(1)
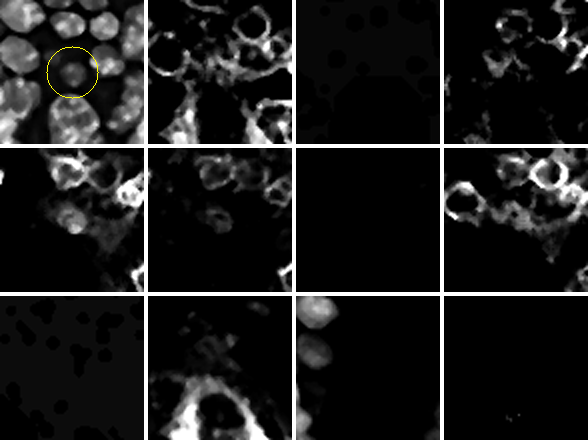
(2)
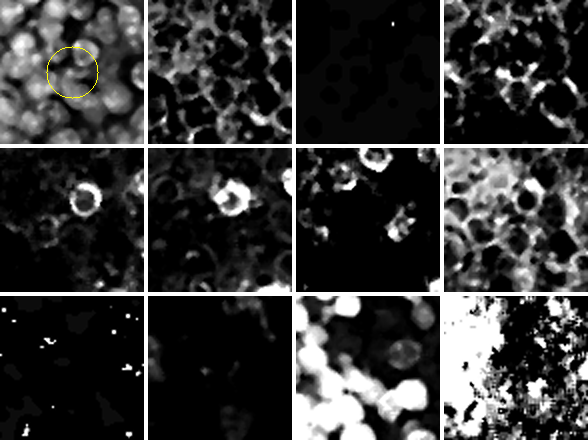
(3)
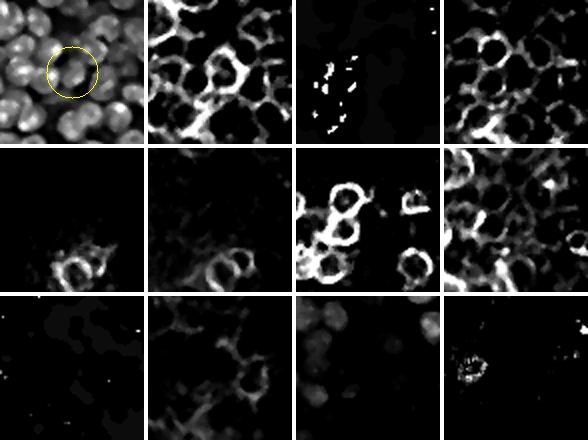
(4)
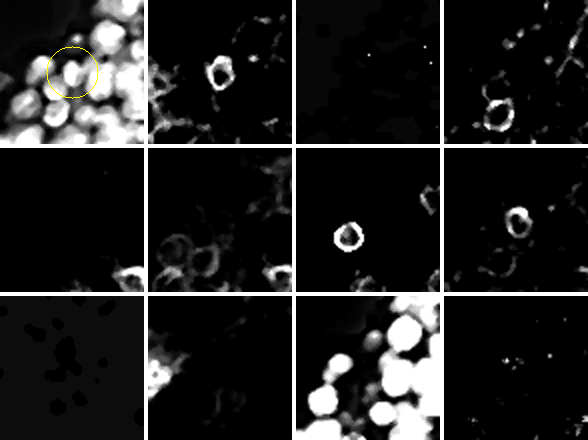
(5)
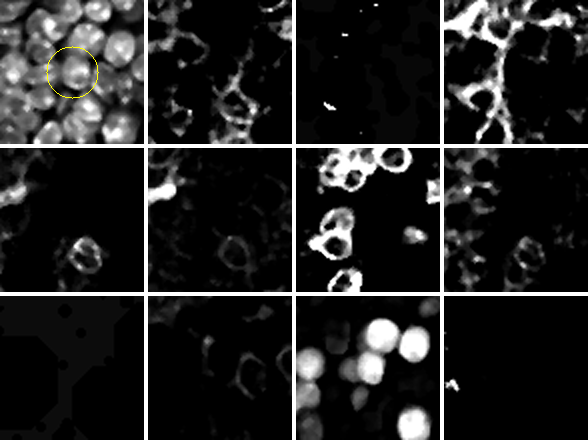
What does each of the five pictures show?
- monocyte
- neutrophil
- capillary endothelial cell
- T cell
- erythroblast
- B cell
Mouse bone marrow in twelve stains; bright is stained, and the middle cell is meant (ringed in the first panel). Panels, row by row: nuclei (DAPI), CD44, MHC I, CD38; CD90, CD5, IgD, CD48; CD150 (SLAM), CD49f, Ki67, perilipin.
1: T cell
2: capillary endothelial cell
3: neutrophil
4: monocyte
5: erythroblast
